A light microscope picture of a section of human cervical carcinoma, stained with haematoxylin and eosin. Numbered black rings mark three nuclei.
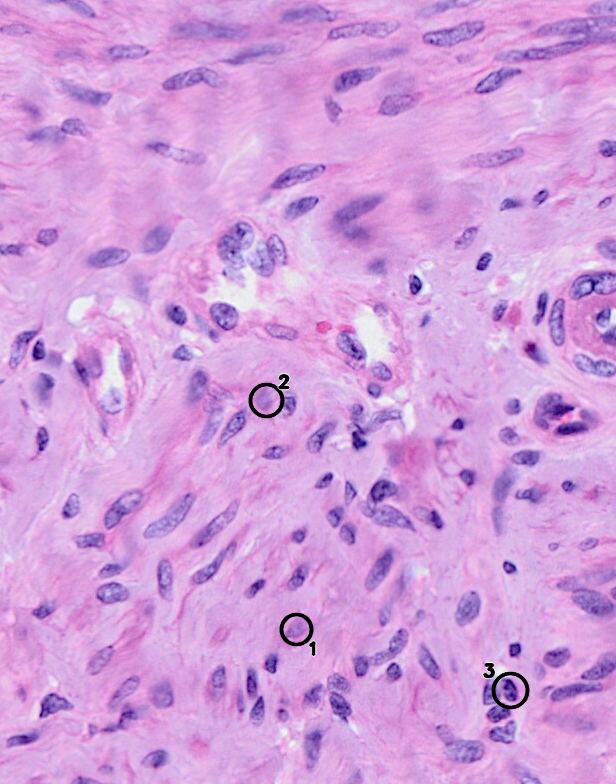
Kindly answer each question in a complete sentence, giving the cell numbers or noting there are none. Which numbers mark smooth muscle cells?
The cells whose numbers are 1 and 2 are smooth muscle cells.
